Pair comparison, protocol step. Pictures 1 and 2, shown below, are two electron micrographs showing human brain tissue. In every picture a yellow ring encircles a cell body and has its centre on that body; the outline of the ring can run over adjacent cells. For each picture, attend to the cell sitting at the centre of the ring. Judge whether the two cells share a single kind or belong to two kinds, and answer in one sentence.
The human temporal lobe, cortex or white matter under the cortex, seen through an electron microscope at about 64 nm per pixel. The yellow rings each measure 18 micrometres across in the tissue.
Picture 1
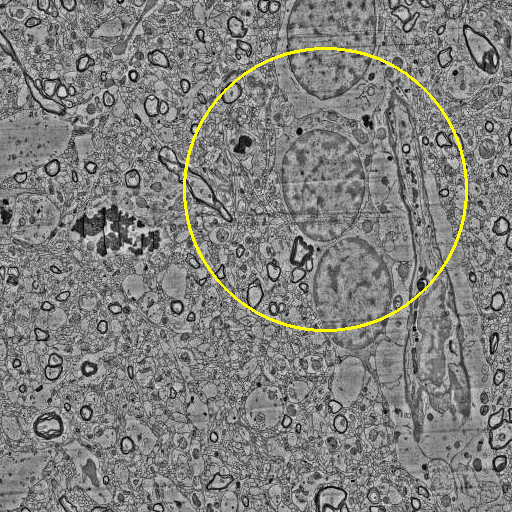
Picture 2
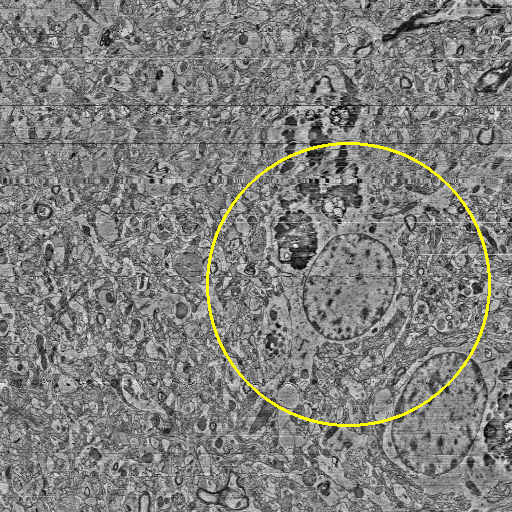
The two cells at the ring centres in Picture 1 and Picture 2 belong to two kinds.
